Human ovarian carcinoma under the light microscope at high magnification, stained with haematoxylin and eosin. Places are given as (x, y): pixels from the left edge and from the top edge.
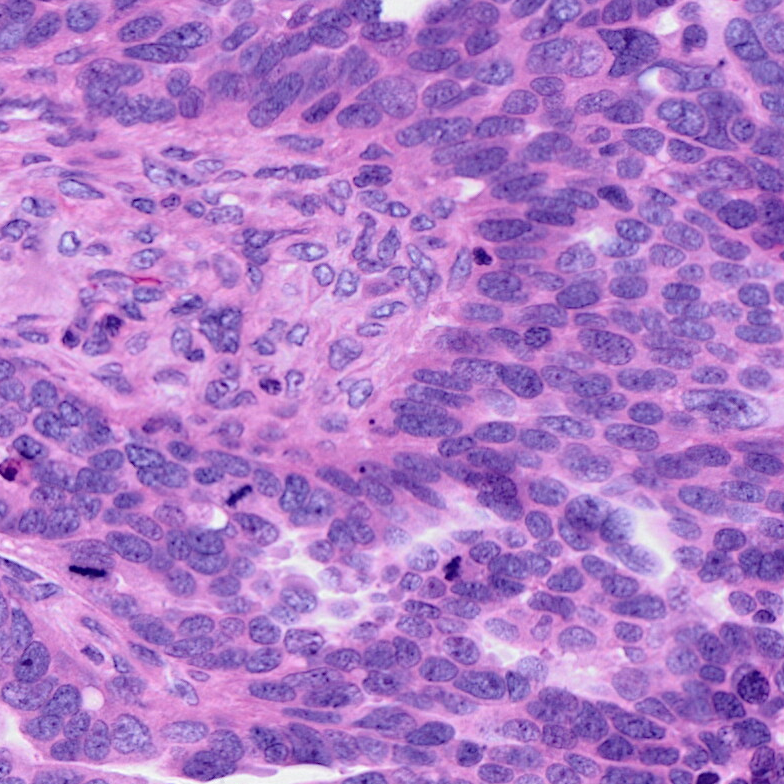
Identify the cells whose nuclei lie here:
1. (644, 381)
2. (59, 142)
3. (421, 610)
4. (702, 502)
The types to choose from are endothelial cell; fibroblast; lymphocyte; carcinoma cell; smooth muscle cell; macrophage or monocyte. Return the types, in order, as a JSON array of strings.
["carcinoma cell", "fibroblast", "carcinoma cell", "carcinoma cell"]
